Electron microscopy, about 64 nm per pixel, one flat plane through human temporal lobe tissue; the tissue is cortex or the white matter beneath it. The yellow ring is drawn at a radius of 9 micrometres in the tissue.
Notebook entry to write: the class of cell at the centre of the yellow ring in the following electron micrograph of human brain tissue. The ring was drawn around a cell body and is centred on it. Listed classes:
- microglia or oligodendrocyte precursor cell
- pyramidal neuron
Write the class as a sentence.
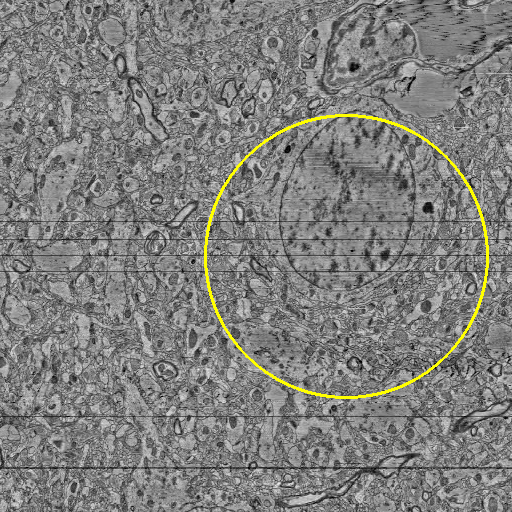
The yellow ring sits on a pyramidal neuron.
